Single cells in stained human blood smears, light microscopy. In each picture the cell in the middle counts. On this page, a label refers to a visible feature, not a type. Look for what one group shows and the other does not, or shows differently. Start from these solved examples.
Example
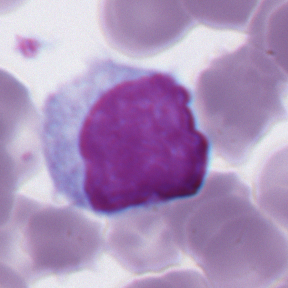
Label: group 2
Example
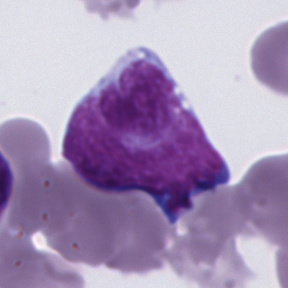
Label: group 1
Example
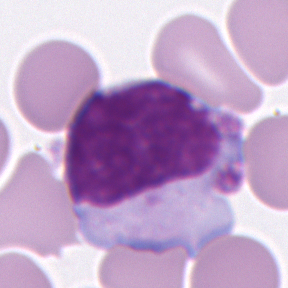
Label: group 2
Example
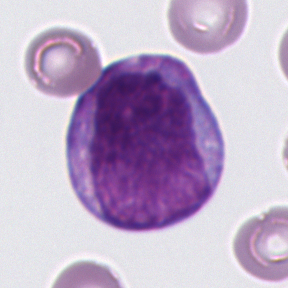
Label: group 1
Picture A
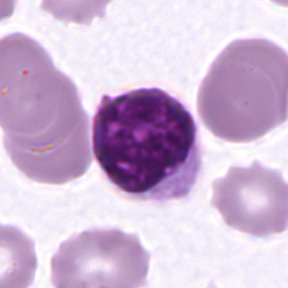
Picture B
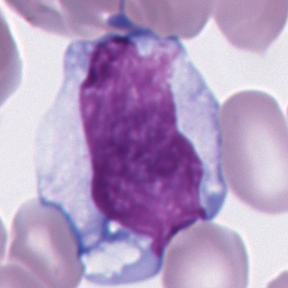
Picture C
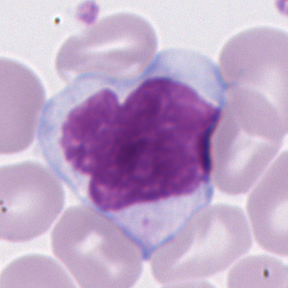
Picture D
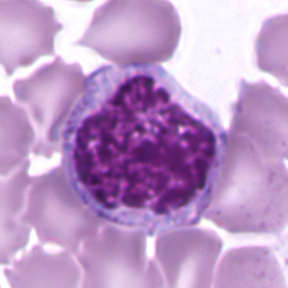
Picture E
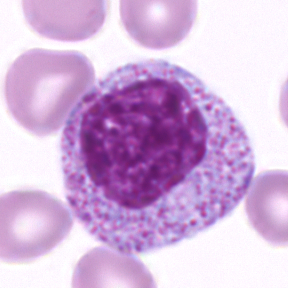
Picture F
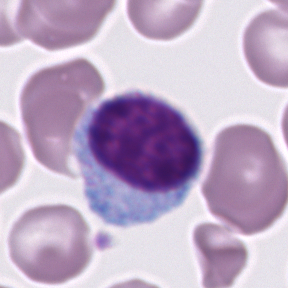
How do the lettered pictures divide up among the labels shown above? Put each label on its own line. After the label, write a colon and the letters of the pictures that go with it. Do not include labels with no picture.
group 2: B, C, E, F
group 1: A, D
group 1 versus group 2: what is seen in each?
Seen in group 1: scant cytoplasm; seen in group 2: abundant cytoplasm.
